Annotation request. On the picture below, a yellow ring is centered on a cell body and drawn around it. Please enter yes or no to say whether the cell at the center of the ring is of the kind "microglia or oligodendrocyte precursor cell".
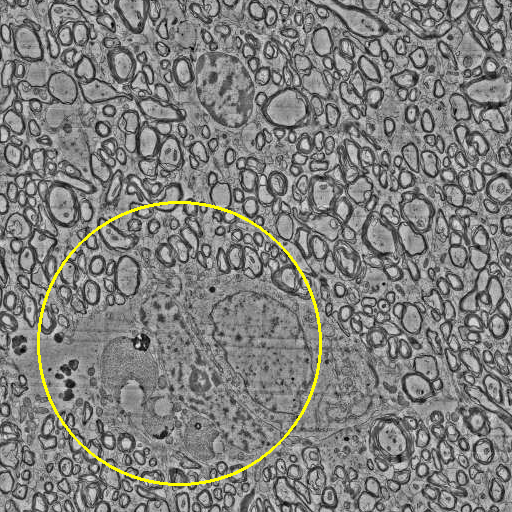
no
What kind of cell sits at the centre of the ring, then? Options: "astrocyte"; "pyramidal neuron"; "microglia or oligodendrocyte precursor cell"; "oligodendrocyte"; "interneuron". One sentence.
The cell ringed in the picture is an astrocyte.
